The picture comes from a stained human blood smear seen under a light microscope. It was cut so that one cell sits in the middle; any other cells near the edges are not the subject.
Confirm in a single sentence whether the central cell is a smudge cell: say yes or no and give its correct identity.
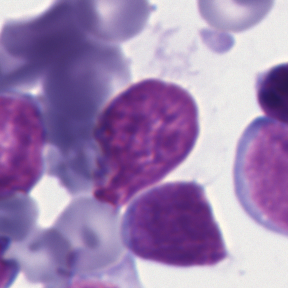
Yes, it is a smudge cell that occupies the centre of the crop.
